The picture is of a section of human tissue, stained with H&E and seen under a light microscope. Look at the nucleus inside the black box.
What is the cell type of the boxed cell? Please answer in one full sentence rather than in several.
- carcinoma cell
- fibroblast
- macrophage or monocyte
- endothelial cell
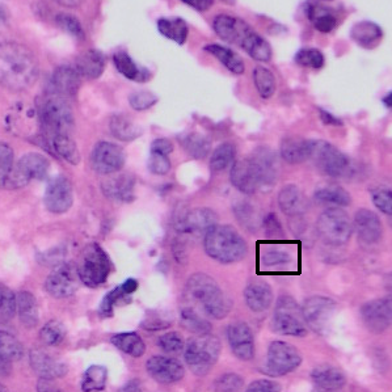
Recorded by type, the boxed cell is a macrophage or monocyte.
